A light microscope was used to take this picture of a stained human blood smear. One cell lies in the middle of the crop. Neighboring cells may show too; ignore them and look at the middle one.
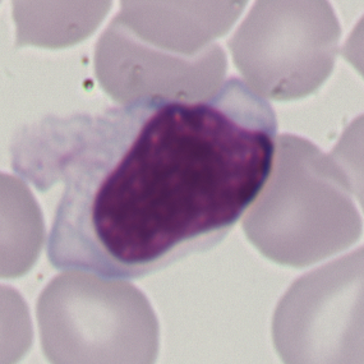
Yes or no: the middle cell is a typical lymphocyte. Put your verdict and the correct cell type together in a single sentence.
No, the cell centered in the crop is a large granular lymphocyte, not a typical lymphocyte.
